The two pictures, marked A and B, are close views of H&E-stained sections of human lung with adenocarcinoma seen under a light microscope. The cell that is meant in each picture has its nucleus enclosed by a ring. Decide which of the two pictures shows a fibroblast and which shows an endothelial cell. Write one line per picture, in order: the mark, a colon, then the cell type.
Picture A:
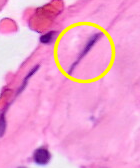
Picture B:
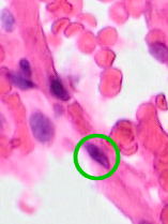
A: fibroblast
B: endothelial cell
